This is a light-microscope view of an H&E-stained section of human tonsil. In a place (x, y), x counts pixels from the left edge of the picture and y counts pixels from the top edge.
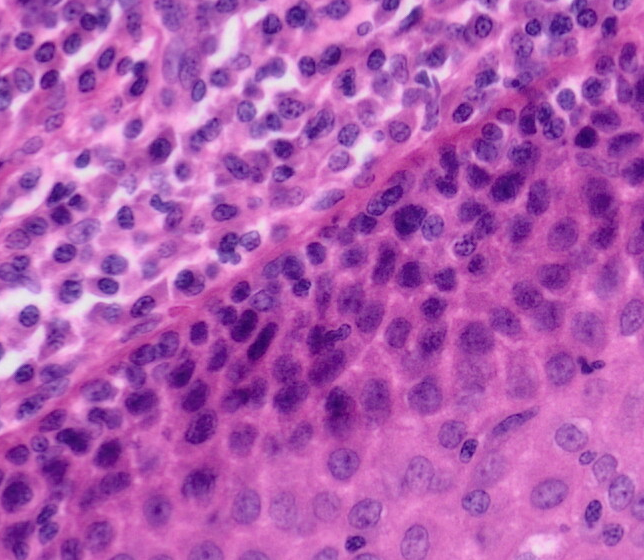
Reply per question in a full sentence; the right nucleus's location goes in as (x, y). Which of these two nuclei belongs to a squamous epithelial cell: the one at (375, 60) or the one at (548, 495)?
It is at (548, 495) that the nucleus of a squamous epithelial cell is found.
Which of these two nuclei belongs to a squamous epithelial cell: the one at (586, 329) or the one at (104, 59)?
The nucleus whose position is (586, 329) belongs to a squamous epithelial cell.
